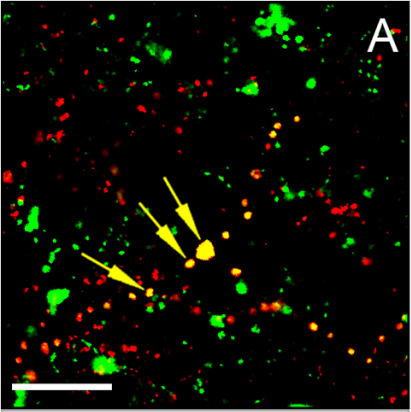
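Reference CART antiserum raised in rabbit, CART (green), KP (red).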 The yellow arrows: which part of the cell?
Axon varicosities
